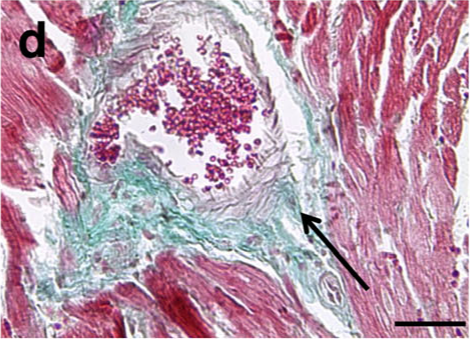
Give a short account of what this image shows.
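Heart muscle with a blood vessel whose lumen is packed with red blood cells. The vessel is surrounded by a broad band of green-stained fibrous tissue that spreads into the neighbouring myocardium, while the red-stained cardiac muscle fibers around it run in bundles of varying direction.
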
